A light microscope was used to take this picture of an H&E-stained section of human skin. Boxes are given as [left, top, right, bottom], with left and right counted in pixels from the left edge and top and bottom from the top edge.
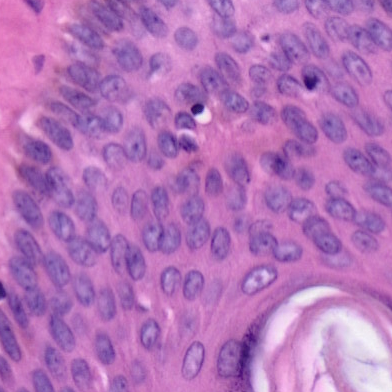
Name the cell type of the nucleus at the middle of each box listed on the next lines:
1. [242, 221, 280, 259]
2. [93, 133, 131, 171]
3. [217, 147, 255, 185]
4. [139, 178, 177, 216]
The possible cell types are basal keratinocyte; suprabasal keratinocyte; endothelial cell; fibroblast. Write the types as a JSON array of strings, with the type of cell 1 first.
["suprabasal keratinocyte", "suprabasal keratinocyte", "basal keratinocyte", "suprabasal keratinocyte"]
